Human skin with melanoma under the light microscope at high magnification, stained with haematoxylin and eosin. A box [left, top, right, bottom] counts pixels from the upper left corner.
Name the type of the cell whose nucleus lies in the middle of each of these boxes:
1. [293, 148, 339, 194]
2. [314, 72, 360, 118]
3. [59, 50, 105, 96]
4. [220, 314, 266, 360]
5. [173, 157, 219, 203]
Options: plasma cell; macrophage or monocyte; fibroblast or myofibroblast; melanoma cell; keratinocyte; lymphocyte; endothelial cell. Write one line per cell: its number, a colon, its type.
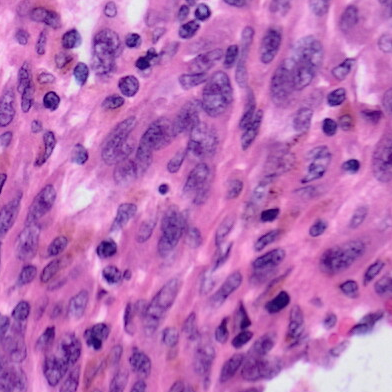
1: endothelial cell
2: lymphocyte
3: lymphocyte
4: lymphocyte
5: melanoma cell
